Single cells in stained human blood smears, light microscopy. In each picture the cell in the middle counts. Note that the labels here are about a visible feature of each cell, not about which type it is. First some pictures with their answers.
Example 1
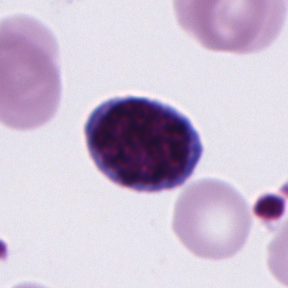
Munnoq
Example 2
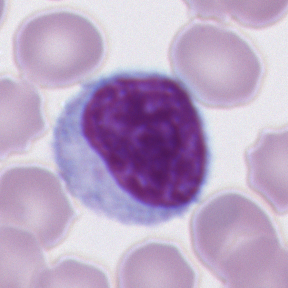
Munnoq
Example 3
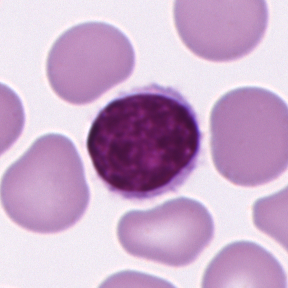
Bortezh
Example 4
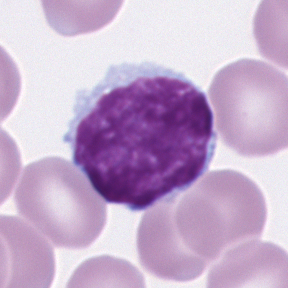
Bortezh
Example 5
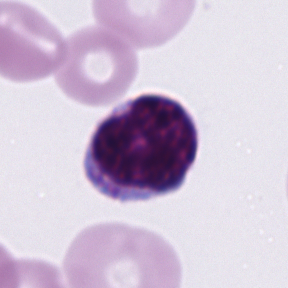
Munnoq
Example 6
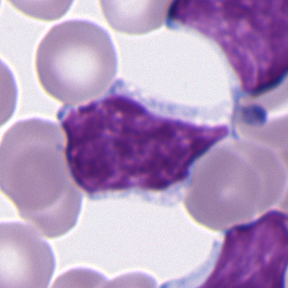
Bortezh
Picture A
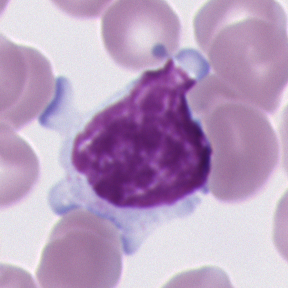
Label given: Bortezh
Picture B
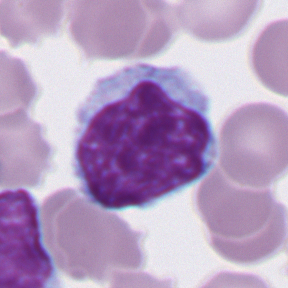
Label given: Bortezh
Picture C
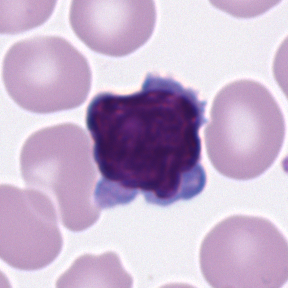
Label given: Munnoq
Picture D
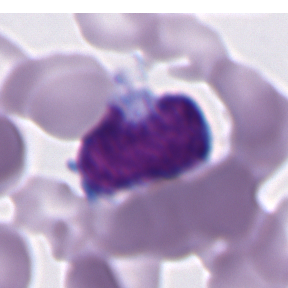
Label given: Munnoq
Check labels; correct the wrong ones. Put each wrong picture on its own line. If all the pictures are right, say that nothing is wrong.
Wrong: C (Munnoq); correct: Bortezh
Wrong: D (Munnoq); correct: Bortezh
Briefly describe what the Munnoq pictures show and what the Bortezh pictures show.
Munnoq, smooth outline; Bortezh, ragged outline or projections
